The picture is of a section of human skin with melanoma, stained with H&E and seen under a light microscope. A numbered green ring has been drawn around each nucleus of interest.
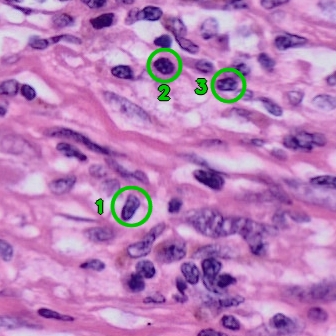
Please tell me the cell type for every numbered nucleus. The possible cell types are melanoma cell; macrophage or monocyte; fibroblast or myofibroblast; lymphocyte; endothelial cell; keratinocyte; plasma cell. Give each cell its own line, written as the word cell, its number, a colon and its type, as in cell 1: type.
cell 1: lymphocyte
cell 2: plasma cell
cell 3: lymphocyte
